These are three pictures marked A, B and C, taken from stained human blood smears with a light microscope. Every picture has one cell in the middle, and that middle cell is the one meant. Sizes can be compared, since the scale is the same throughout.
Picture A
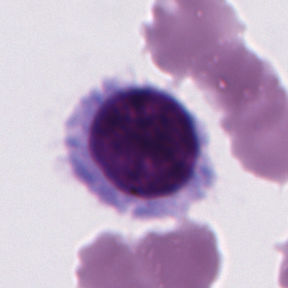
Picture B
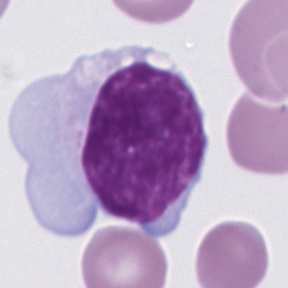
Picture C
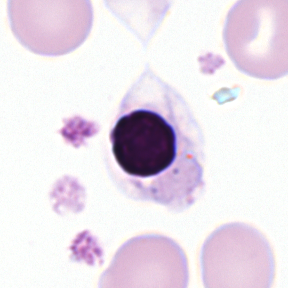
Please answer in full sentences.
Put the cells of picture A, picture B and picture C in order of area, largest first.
From the largest down, the order is B, A, C.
